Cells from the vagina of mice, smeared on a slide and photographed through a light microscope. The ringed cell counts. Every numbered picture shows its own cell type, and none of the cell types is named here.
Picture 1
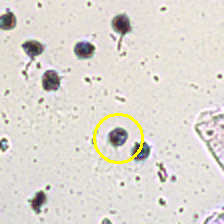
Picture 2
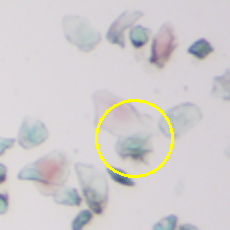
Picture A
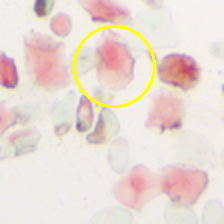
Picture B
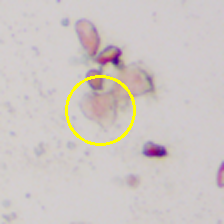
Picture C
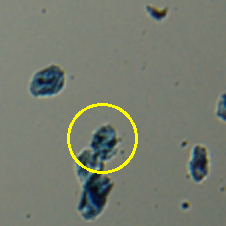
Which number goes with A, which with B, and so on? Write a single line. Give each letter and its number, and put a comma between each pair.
A 2, B 2, C 2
